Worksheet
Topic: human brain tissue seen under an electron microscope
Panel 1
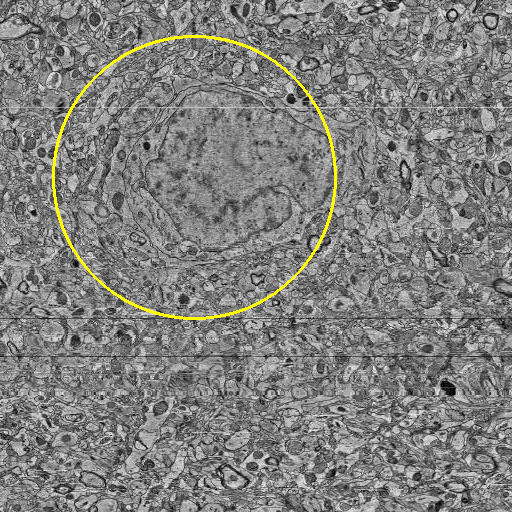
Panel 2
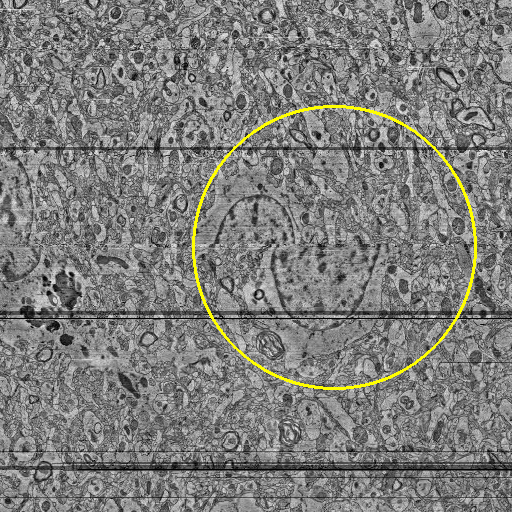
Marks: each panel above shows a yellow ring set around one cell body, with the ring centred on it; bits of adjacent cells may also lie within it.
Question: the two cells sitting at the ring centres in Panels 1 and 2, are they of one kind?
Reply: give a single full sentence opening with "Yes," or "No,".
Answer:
No, the two ring-centre cells in Panel 1 and Panel 2 are of two kinds.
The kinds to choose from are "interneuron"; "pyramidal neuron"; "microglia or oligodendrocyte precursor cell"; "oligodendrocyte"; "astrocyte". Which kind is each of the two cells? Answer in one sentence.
Of the two, the first cell is an interneuron and the second cell is an astrocyte.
